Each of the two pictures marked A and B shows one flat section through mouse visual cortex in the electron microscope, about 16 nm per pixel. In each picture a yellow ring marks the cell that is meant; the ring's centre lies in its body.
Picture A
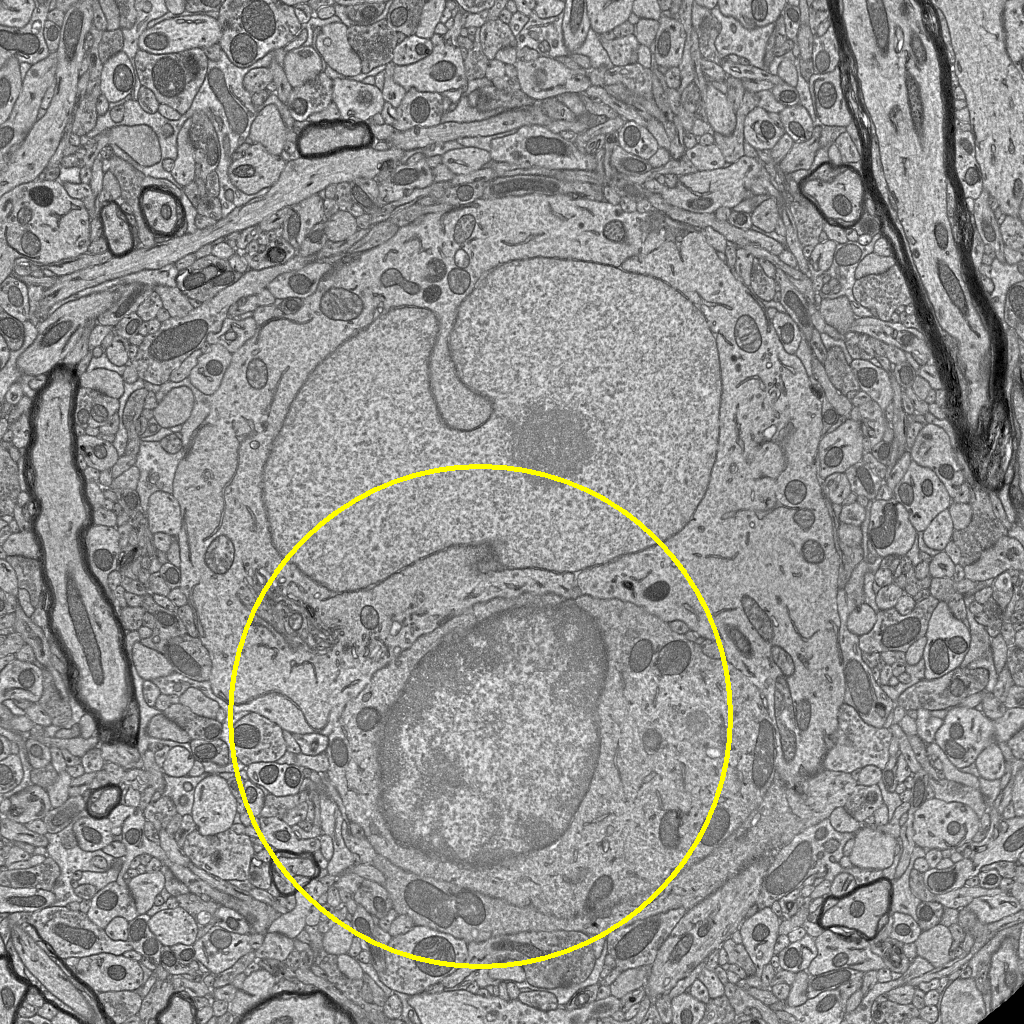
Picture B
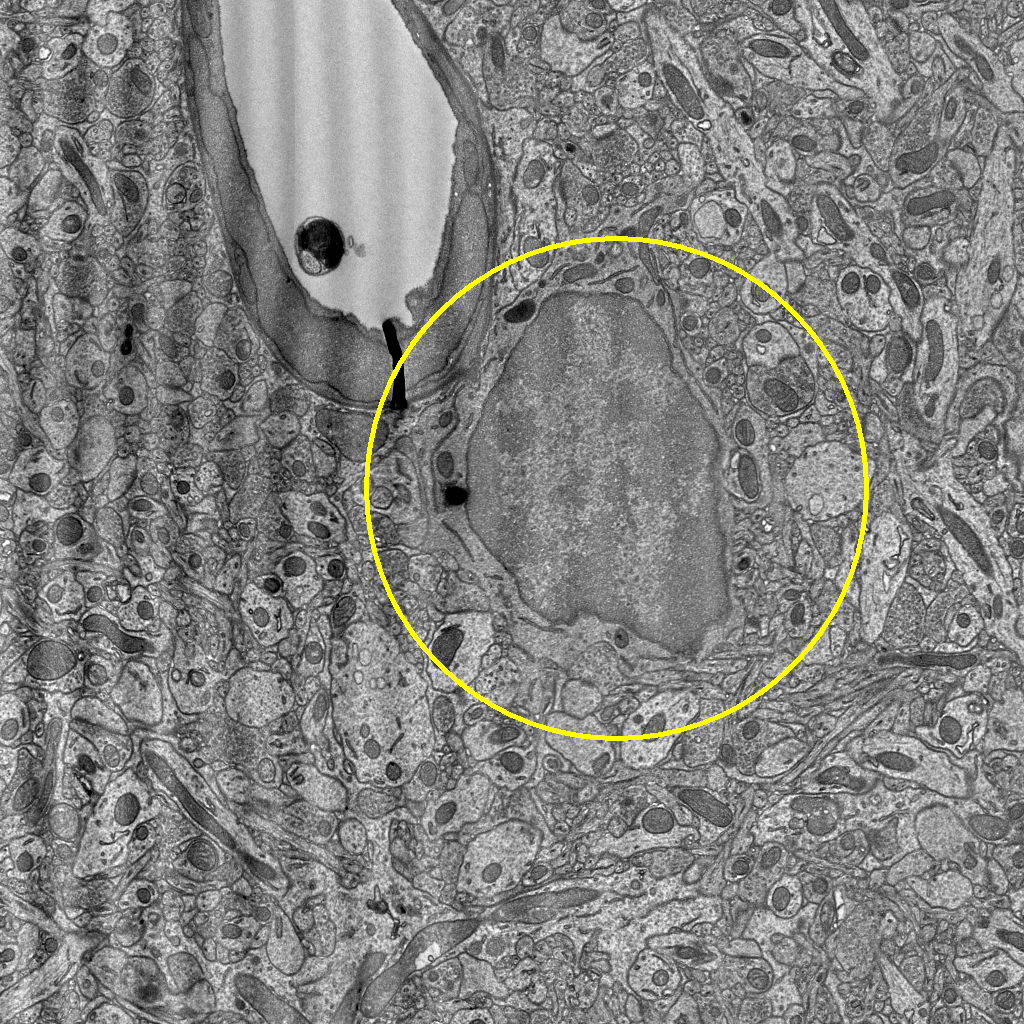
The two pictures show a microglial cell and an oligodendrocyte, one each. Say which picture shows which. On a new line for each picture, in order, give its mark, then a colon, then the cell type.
A: oligodendrocyte
B: microglial cell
